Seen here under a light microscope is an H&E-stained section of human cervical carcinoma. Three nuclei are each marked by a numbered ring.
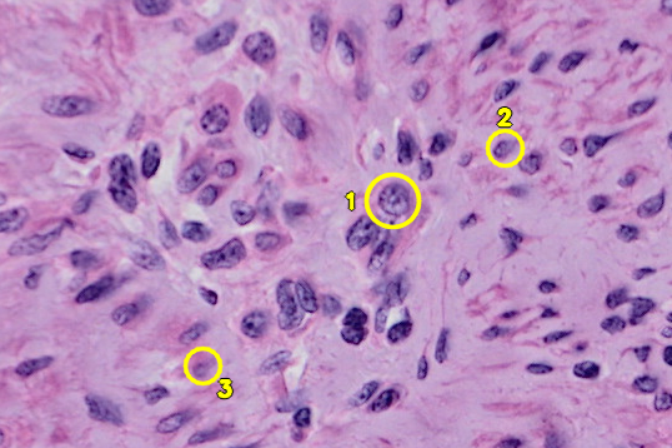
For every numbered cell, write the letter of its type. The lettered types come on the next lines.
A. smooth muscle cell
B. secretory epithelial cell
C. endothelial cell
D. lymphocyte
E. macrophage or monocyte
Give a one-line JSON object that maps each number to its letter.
{"1": "C", "2": "A", "3": "A"}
